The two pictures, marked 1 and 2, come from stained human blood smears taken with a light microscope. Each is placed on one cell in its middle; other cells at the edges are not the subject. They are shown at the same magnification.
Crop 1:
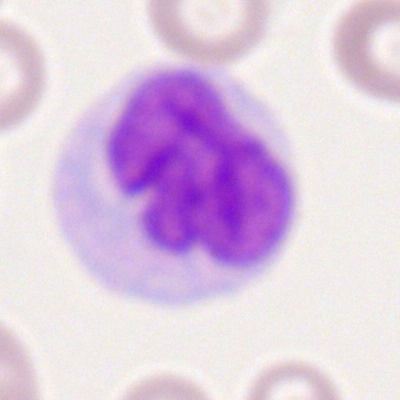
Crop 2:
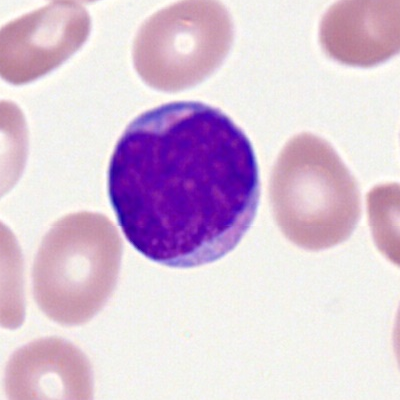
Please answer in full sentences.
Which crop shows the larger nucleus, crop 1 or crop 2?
It is the nucleus in crop 1, about 1.5 times as large in area as the one in crop 2.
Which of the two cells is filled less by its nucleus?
In crop 1 the nucleus takes up the smaller part of its cell.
